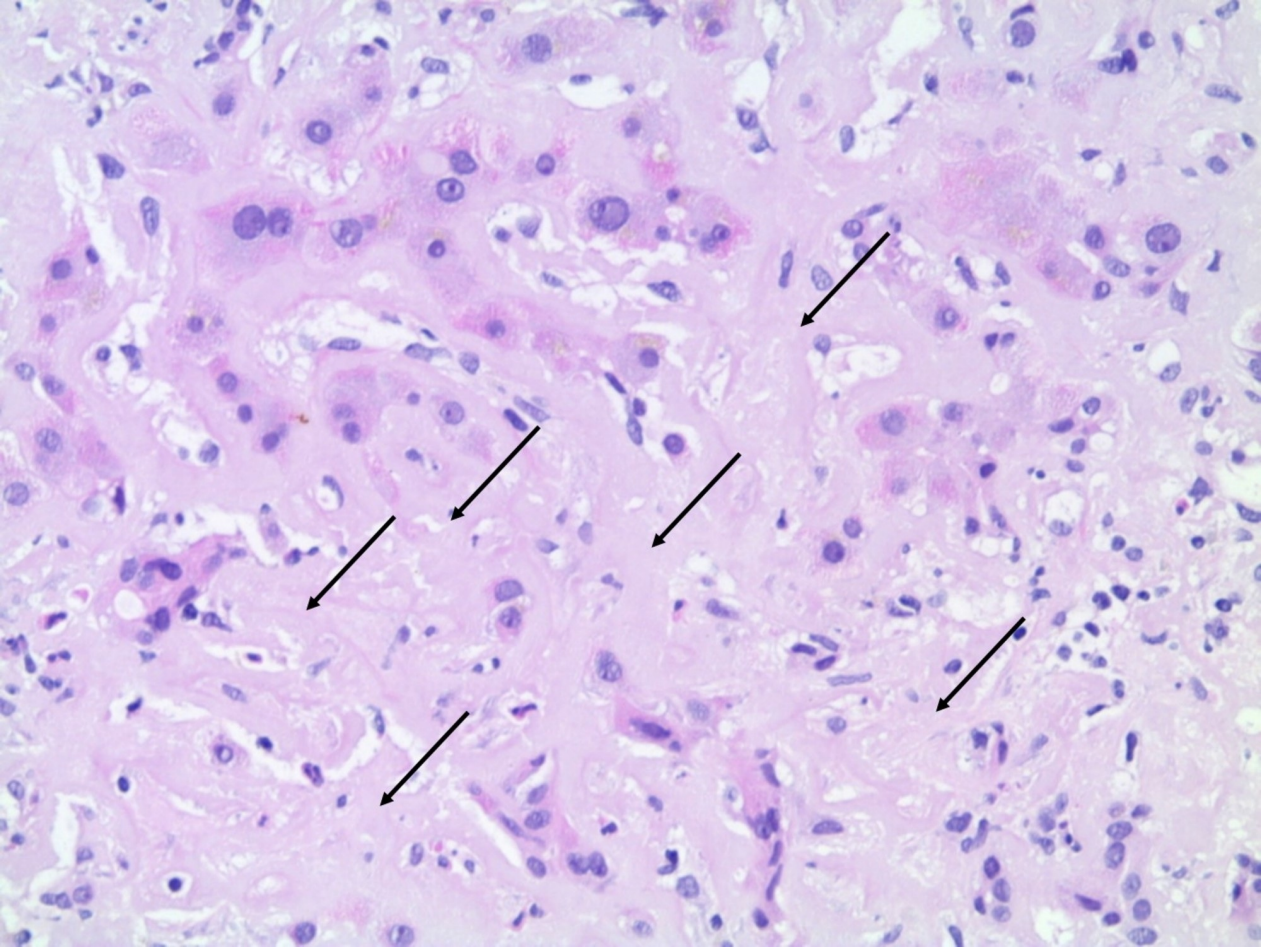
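Liver tissue in which hepatocytes lie as scattered small groups and short cords, separated by wide expanses of pale pink, glassy, amorphous material. The hepatocytes are large polygonal cells with granular pink cytoplasm and round nuclei with distinct nucleoli. Some hepatocytes have two nuclei, and some contain fine golden-brown pigment granules. Many hepatocytes look isolated and compressed within the deposits. Small dark elongated and round nuclei of other cells are scattered through the pale material.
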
